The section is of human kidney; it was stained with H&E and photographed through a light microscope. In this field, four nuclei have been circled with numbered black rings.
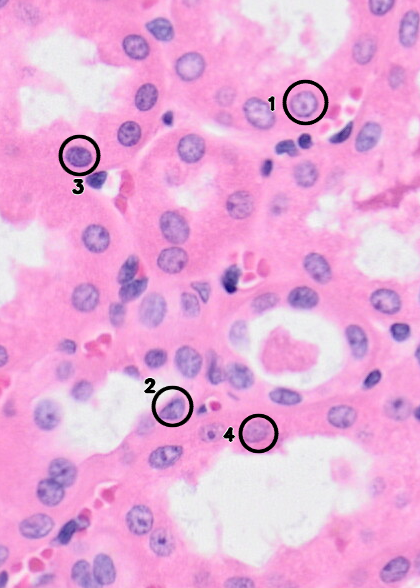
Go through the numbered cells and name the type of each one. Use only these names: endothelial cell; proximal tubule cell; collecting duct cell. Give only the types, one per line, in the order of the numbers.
proximal tubule cell
collecting duct cell
proximal tubule cell
proximal tubule cell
